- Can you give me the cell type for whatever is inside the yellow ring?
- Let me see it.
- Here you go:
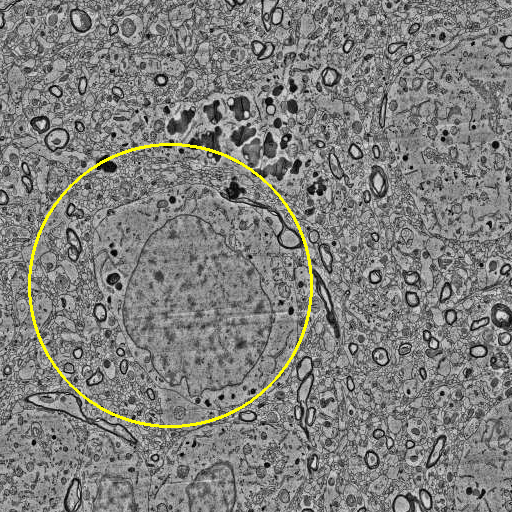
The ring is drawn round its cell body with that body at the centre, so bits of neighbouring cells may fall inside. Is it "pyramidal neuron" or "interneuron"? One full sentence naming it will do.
The cell body in the middle of the ring in this picture belongs to a pyramidal neuron.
